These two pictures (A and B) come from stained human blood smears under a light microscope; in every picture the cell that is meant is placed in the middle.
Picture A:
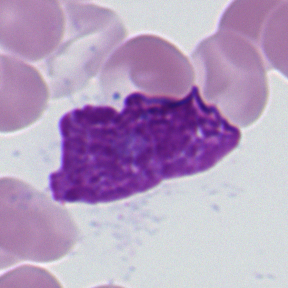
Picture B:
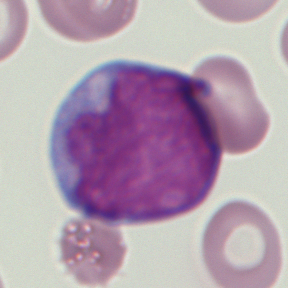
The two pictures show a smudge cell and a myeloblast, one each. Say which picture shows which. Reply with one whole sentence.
Picture A is of a smudge cell, and picture B is of a myeloblast.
